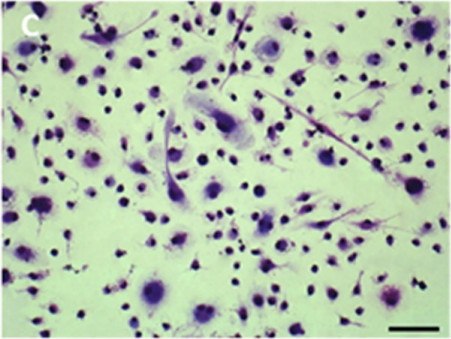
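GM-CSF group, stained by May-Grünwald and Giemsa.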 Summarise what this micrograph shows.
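Many adherent cells are scattered densely over the pale background, most of them compact and rounded or flattened into roughly circular shapes. Each has a dark purple nucleus, with a rim of lighter violet cytoplasm spreading around it in the larger cells. A few cells send out short processes, and only an occasional one is stretched into a long thin shape. The cells vary in size, from small dense round ones to broader spread ones. This flat, rounded spreading is the typical pancake shape of macrophages.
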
